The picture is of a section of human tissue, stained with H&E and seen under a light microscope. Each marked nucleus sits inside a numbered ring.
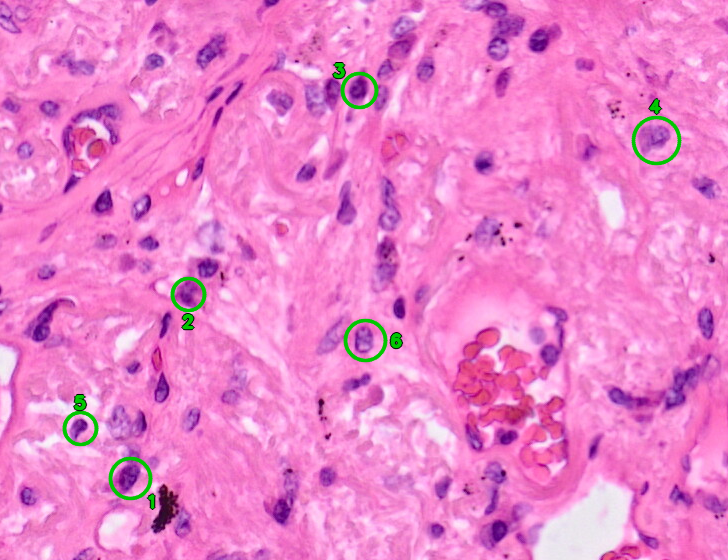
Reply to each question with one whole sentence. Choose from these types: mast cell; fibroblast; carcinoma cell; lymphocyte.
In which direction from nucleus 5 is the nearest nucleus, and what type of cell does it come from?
The nearest one is a fibroblast, found to the right of nucleus 5.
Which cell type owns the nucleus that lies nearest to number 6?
It is a fibroblast whose nucleus is nearest to number 6.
